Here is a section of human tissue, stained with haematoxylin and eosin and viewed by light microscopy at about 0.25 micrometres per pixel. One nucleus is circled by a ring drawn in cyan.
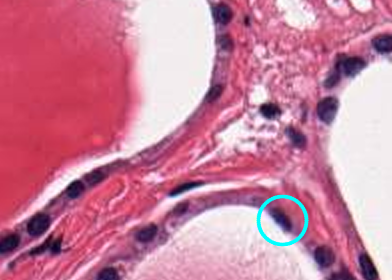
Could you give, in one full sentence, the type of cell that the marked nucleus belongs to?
The marked nucleus lies within a thyroid follicular cell.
